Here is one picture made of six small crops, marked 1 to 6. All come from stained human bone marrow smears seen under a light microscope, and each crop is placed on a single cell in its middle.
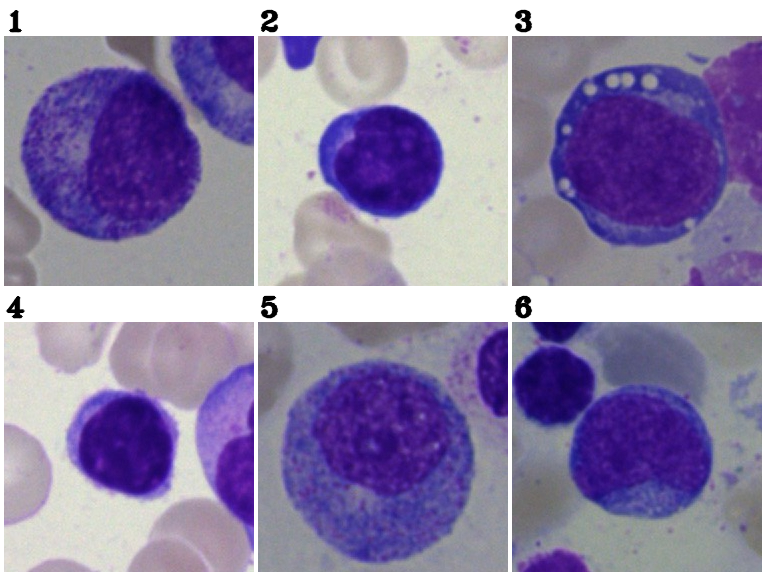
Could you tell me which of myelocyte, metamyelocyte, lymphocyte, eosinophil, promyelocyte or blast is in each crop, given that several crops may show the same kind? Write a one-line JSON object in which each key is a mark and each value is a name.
{"1": "promyelocyte", "2": "lymphocyte", "3": "blast", "4": "lymphocyte", "5": "promyelocyte", "6": "blast"}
